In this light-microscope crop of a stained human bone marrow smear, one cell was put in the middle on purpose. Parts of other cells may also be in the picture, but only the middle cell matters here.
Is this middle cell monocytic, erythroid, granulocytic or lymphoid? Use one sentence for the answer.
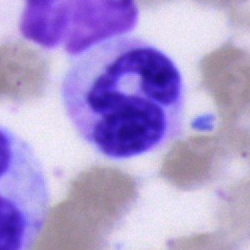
On lineage, the cell in the middle of the crop is granulocytic.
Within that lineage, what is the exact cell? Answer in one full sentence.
The target cell in the middle of the crop is a segmented neutrophil.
